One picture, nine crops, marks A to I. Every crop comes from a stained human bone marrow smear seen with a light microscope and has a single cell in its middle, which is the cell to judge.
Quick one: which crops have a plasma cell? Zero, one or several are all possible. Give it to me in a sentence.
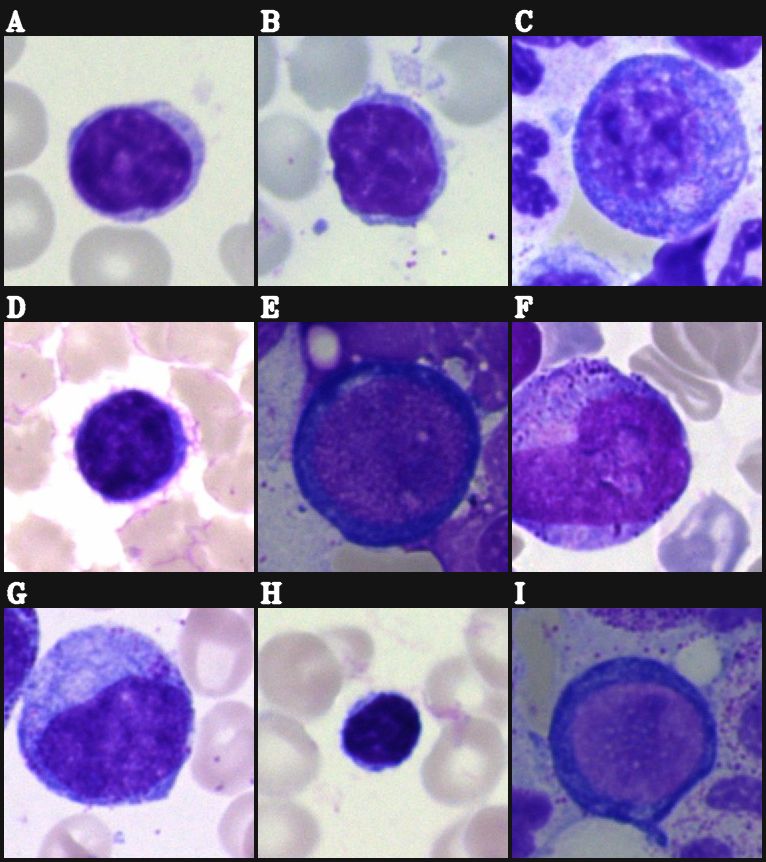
For each crop, the cell in the middle is not a plasma cell.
